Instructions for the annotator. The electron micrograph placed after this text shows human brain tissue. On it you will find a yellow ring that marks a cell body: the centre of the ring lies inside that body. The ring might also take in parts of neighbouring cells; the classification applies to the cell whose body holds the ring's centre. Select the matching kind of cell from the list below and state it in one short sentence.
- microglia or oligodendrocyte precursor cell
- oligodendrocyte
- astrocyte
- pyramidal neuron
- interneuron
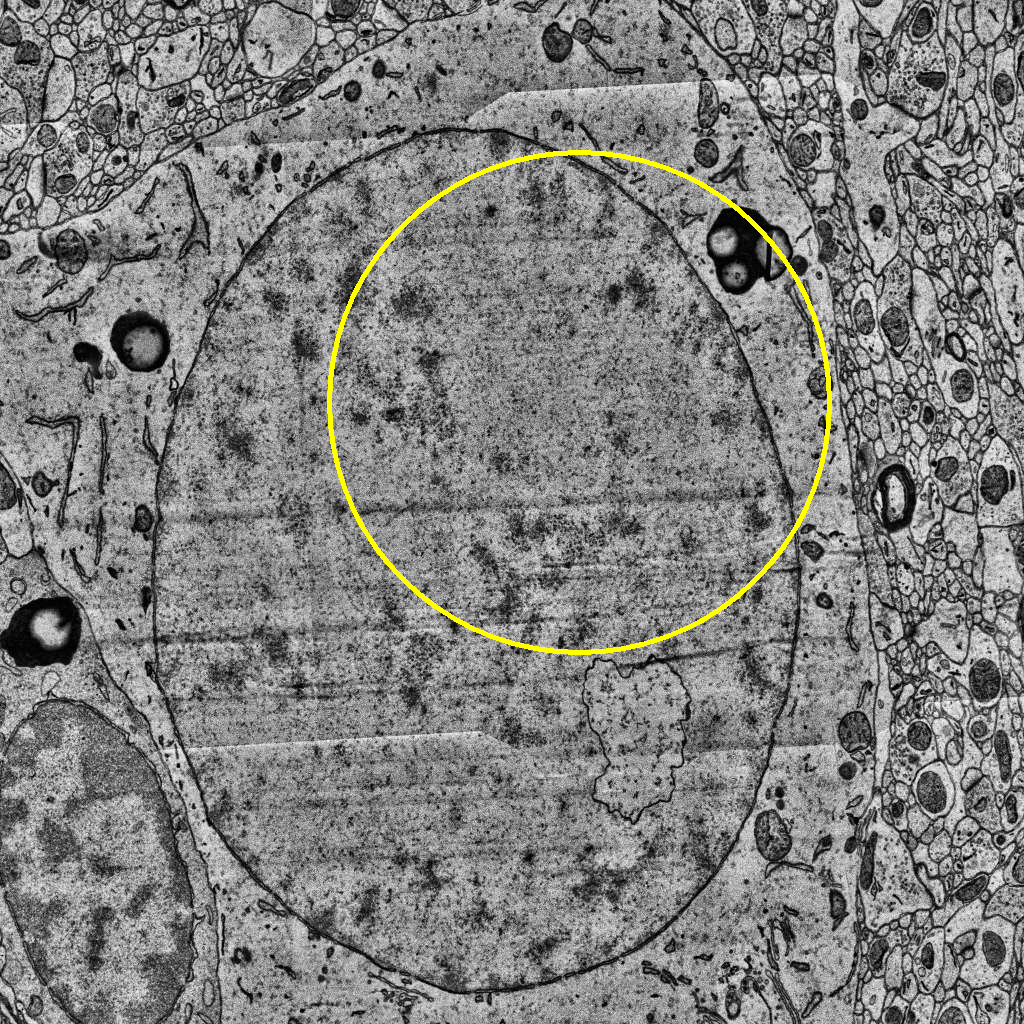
The centre of the ring lies in the cell body of a pyramidal neuron.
